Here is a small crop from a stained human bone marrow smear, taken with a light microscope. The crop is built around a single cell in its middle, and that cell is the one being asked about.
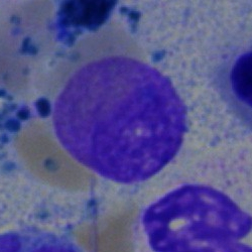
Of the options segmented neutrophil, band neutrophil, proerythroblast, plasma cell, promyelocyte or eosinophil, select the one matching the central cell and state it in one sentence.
The cell at the central position in this crop is an eosinophil.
